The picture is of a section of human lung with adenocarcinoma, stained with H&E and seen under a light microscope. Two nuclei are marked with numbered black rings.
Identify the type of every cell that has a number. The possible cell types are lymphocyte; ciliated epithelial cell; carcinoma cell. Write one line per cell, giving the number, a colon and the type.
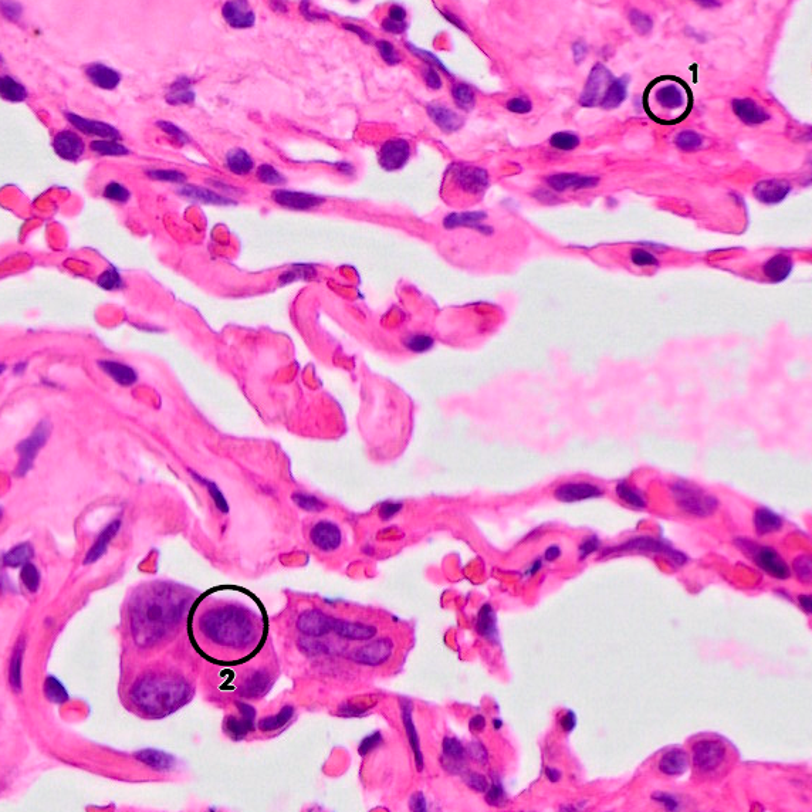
1: lymphocyte
2: carcinoma cell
